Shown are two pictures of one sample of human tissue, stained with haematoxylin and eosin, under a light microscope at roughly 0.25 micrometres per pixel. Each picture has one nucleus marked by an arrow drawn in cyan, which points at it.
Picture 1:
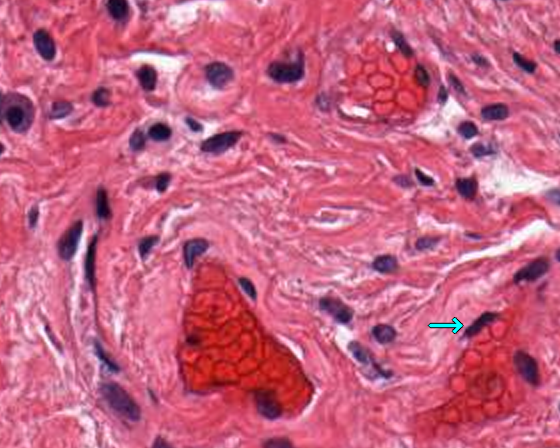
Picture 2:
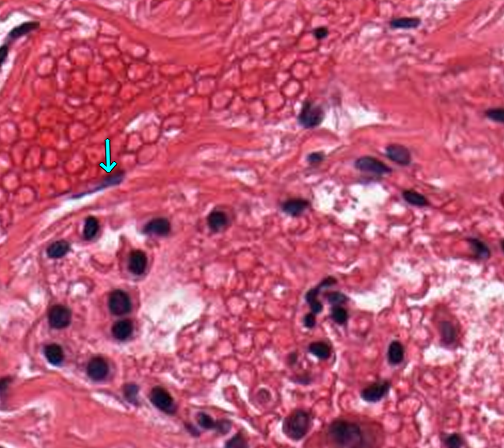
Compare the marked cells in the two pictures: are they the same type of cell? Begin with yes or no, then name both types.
Yes, both are endothelial cells.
